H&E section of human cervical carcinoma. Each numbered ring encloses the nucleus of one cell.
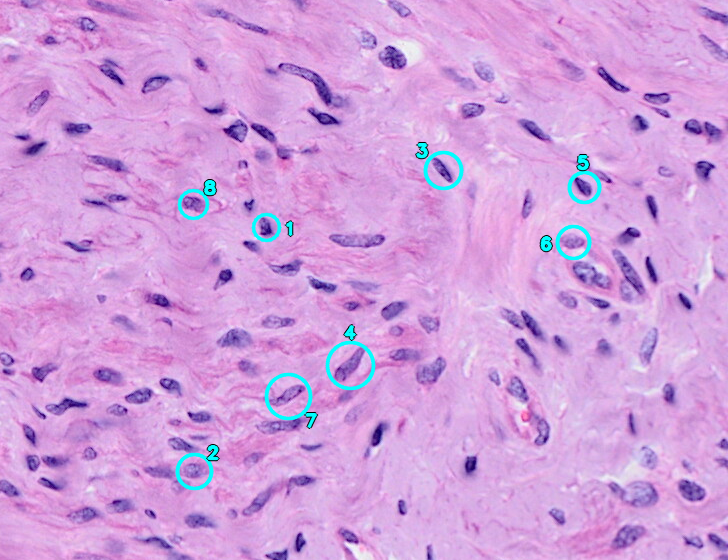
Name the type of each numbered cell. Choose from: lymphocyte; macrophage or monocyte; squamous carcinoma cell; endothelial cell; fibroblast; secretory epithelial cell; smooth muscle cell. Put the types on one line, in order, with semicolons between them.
fibroblast; smooth muscle cell; fibroblast; smooth muscle cell; fibroblast; endothelial cell; smooth muscle cell; smooth muscle cell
